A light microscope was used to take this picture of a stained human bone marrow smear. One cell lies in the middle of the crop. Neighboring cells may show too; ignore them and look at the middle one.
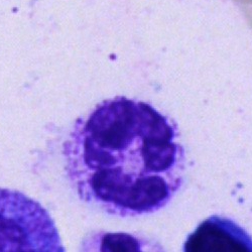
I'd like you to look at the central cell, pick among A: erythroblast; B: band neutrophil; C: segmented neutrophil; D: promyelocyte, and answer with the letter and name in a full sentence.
Option C, which names the central cell as a segmented neutrophil, is correct.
